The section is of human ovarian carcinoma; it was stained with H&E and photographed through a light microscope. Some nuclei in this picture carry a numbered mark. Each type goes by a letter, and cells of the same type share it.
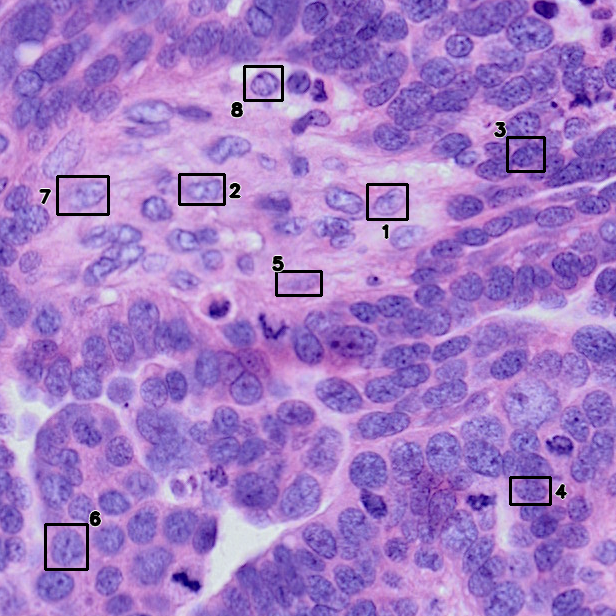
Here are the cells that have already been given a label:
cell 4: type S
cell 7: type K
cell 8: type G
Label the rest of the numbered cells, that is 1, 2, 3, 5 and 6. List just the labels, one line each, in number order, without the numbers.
type K
type K
type S
type K
type S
